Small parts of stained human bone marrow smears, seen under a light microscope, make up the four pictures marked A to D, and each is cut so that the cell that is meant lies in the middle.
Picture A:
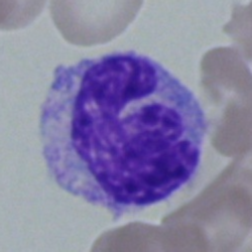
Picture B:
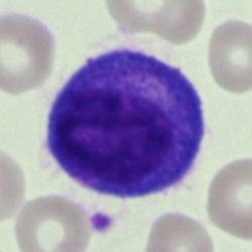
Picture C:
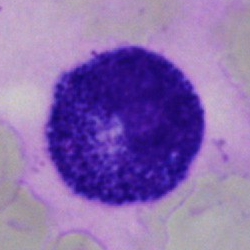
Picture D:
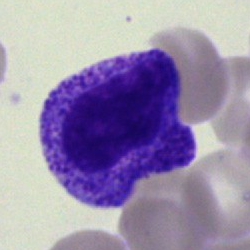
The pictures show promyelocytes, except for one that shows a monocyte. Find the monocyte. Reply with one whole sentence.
The picture with the monocyte is A.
